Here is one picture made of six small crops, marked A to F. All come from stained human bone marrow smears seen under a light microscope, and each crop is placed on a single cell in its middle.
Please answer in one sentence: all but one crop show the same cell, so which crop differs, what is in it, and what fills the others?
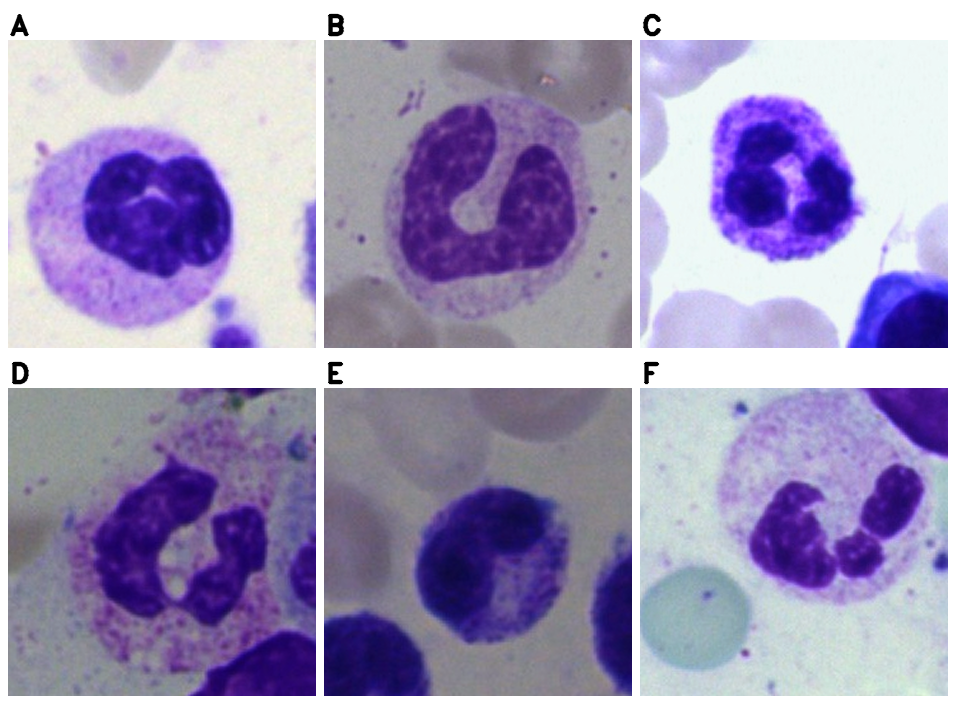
Crop E is the sole crop with a band neutrophil; the others all have segmented neutrophils.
